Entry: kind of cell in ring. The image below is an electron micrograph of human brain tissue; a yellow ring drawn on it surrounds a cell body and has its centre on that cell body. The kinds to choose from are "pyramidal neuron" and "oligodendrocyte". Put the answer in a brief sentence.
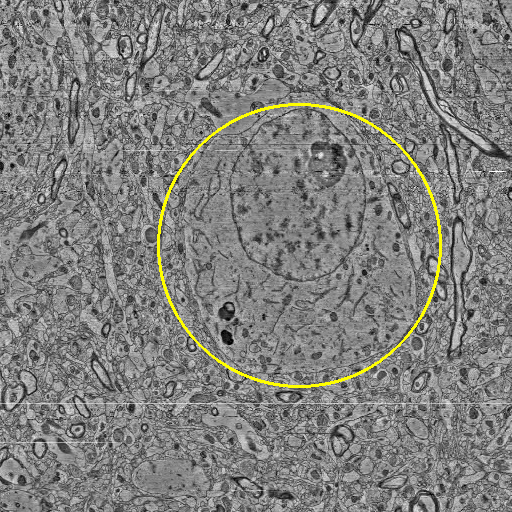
The ring has been drawn around a pyramidal neuron.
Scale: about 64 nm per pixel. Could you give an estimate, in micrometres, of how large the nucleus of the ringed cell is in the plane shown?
In this plane, about 11 micrometres in length and 9 in width.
